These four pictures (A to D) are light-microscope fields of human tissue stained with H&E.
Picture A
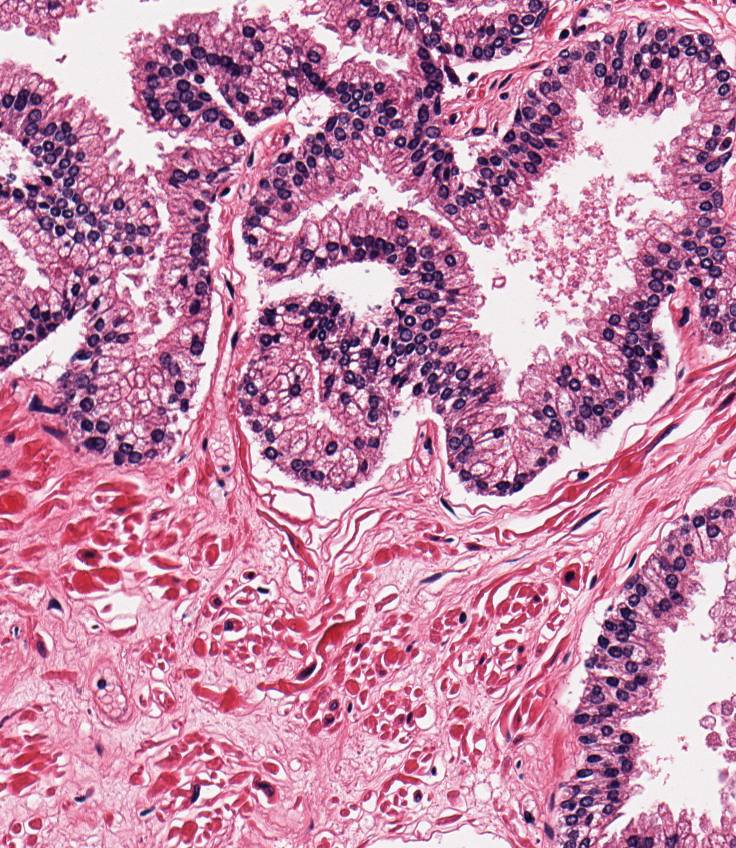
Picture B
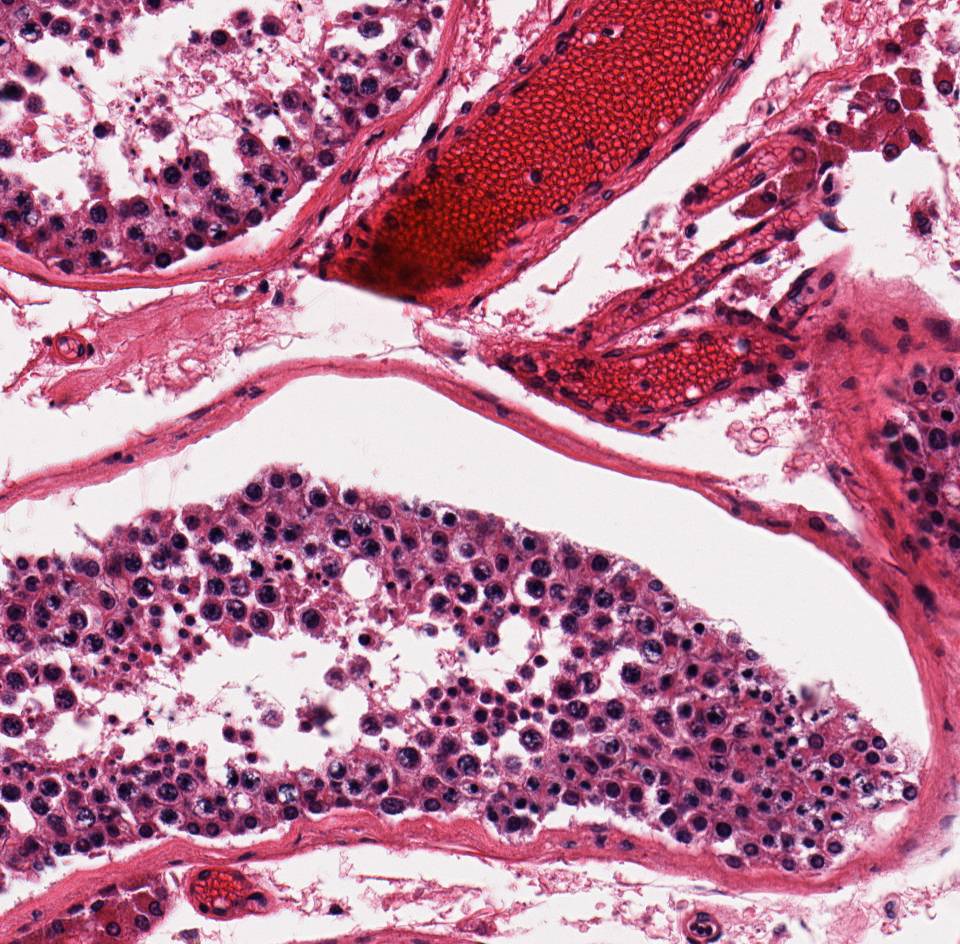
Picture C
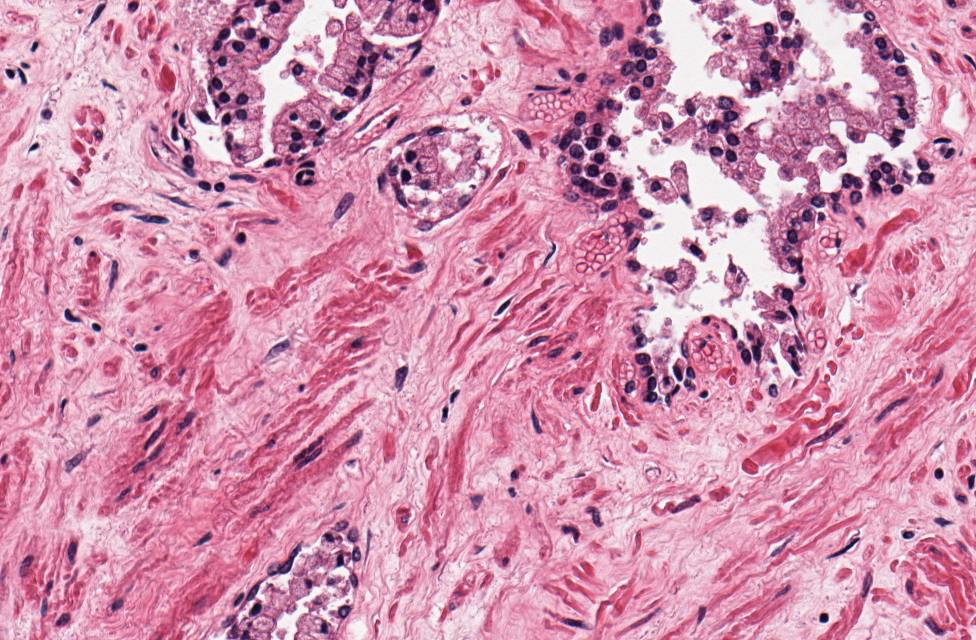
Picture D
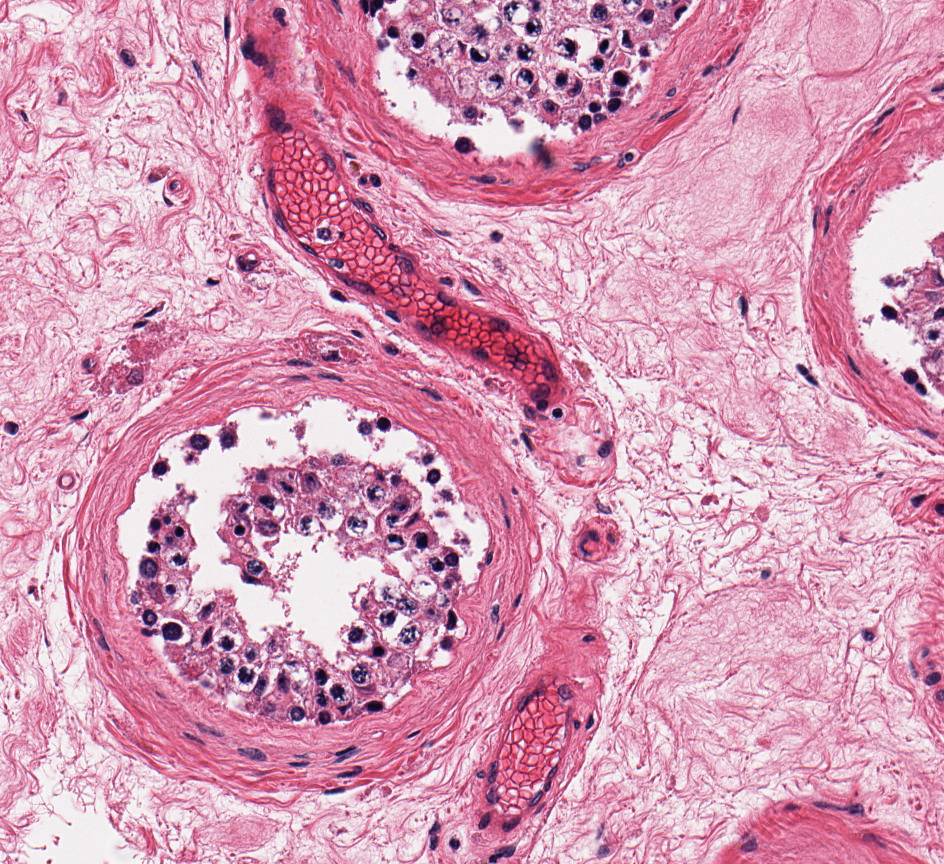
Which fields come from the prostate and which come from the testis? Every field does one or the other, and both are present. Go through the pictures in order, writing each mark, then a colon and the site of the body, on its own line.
A: prostate
B: testis
C: prostate
D: testis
